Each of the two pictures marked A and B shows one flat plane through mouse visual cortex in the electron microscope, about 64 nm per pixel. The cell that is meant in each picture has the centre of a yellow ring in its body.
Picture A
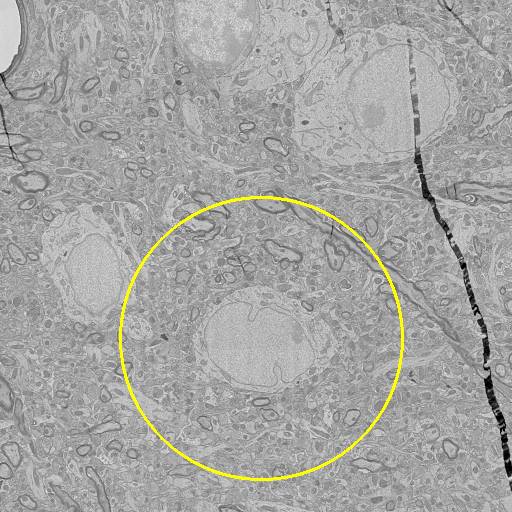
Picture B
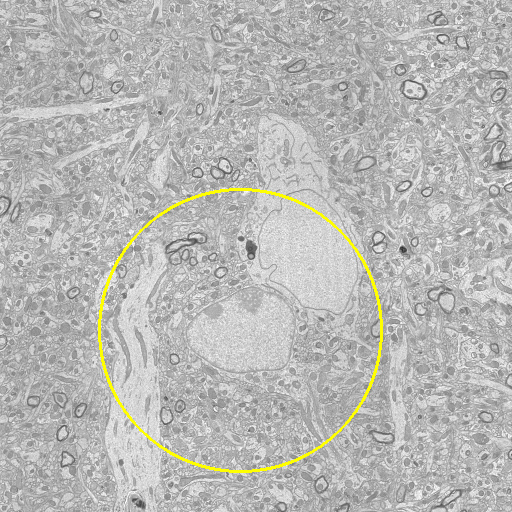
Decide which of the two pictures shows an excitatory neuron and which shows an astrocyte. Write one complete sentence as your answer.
Picture B shows an astrocyte, while picture A shows an excitatory neuron.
